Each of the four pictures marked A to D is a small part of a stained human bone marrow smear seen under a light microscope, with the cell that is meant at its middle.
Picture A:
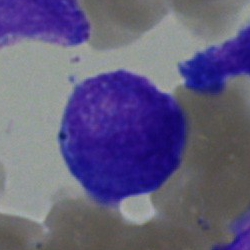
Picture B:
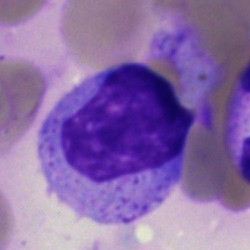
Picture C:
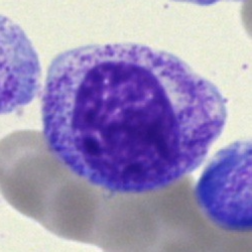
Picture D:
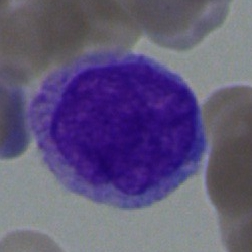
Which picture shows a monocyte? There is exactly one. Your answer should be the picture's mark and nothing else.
D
